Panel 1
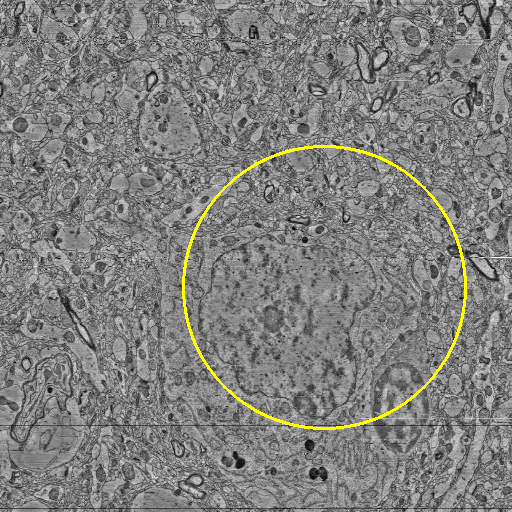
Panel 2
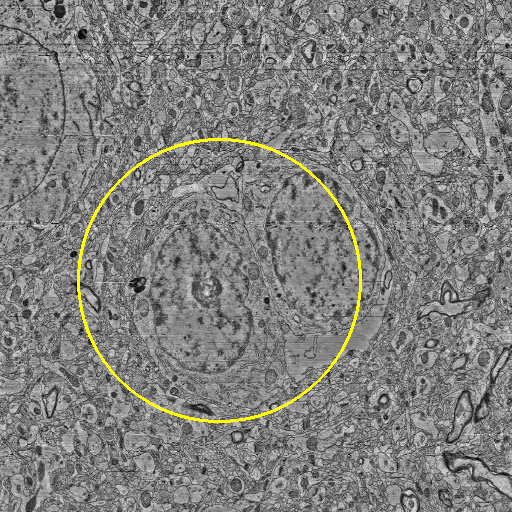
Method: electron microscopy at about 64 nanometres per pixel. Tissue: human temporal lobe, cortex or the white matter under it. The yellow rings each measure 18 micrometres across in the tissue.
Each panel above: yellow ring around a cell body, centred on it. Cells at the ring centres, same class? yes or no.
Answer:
yes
